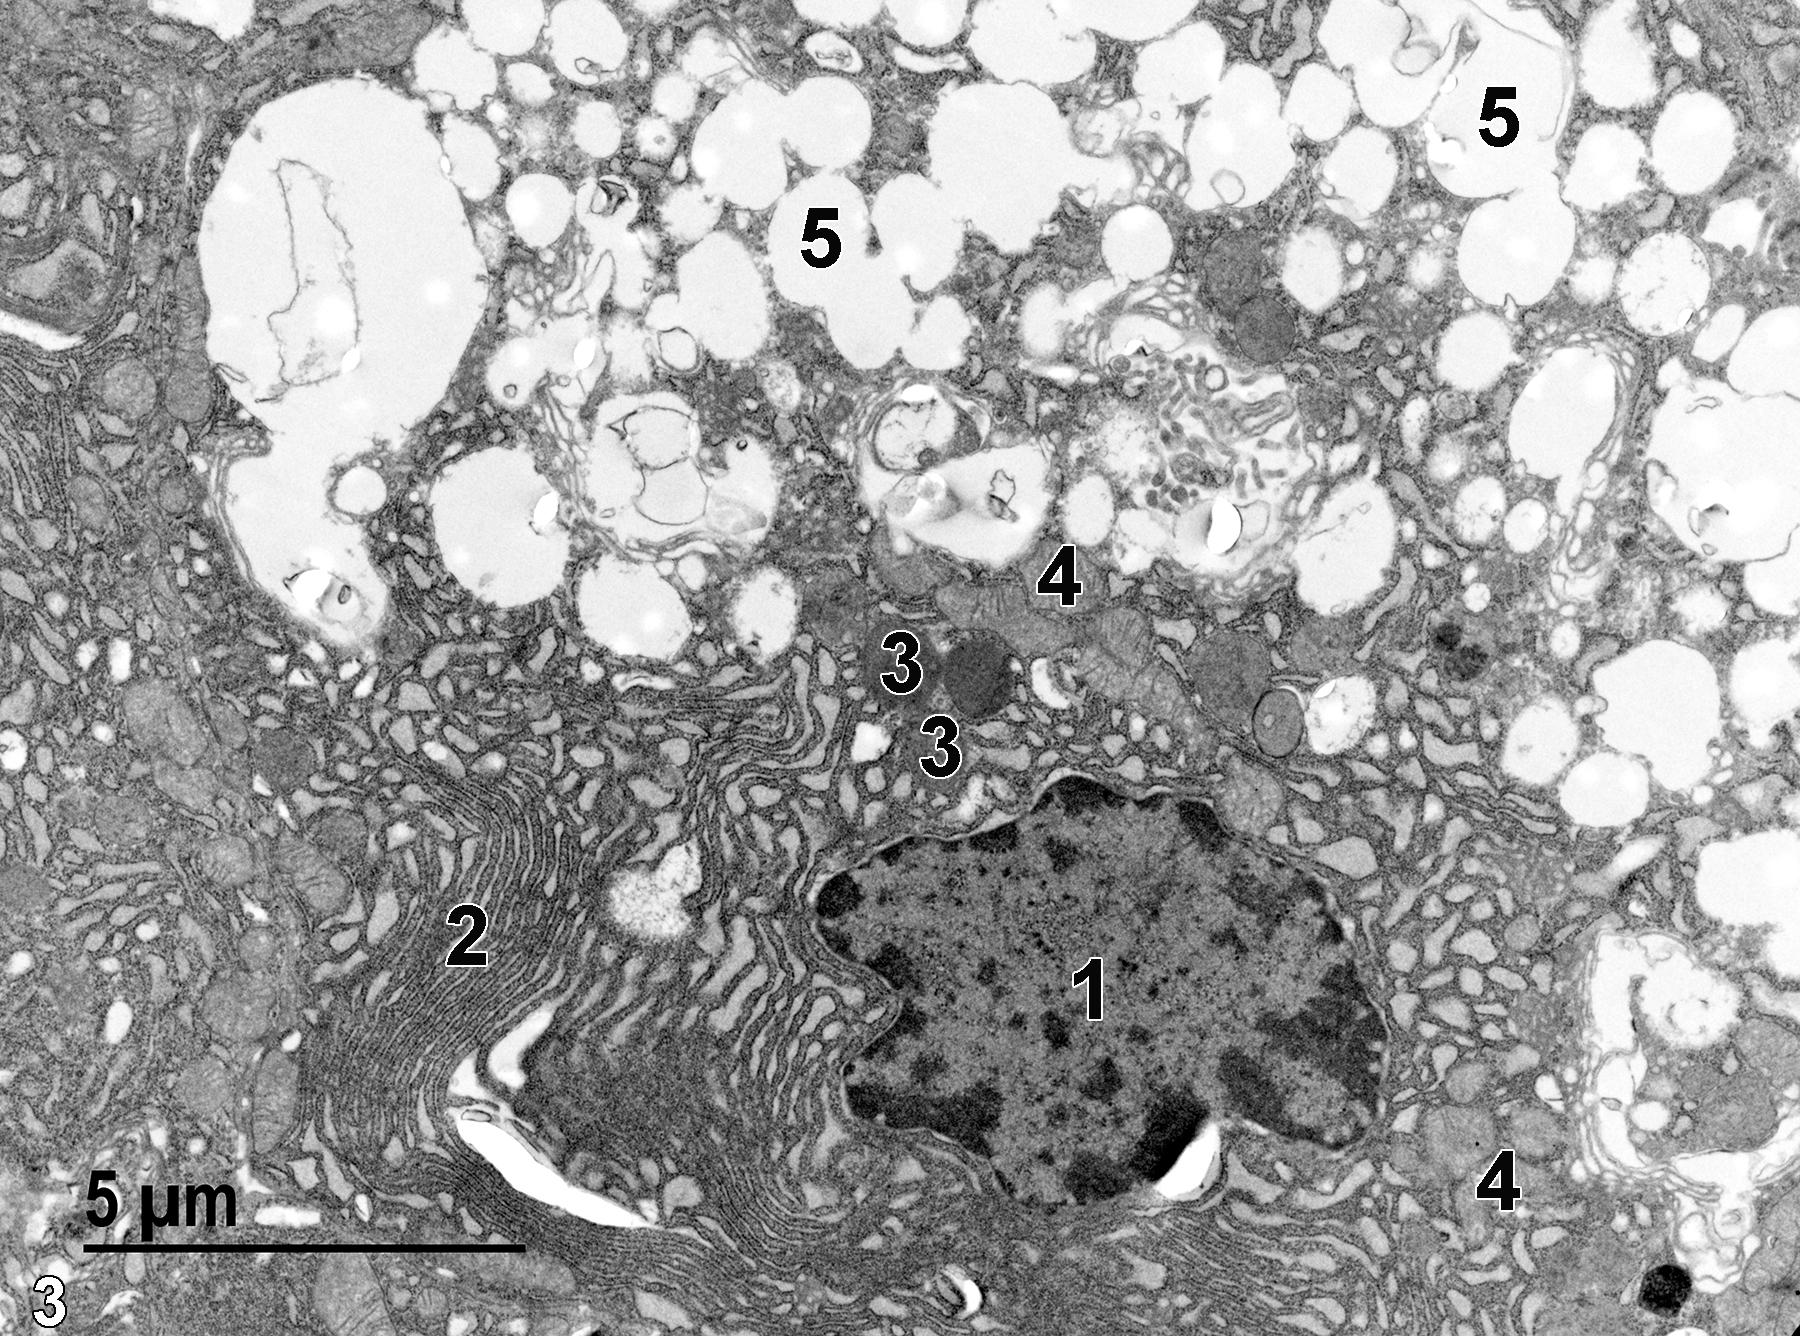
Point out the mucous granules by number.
The mucous granules: 5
